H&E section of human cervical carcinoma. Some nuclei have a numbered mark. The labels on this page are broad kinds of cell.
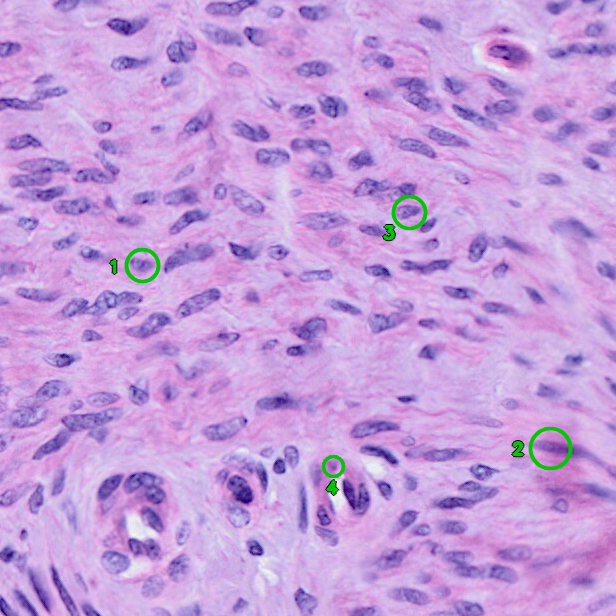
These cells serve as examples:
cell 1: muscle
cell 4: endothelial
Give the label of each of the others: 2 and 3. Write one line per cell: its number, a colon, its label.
2: muscle
3: muscle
